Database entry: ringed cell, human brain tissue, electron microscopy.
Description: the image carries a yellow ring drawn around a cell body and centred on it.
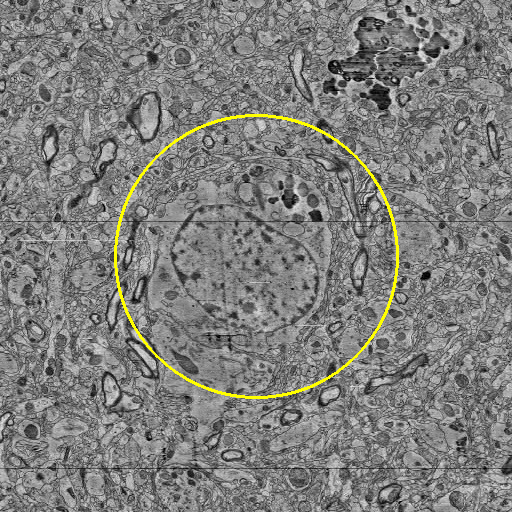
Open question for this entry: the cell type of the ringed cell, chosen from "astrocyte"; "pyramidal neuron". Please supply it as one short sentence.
The ringed cell is an astrocyte.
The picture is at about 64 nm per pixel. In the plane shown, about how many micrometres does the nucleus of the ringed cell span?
In this plane the nucleus measures roughly 10 by 7 micrometres.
